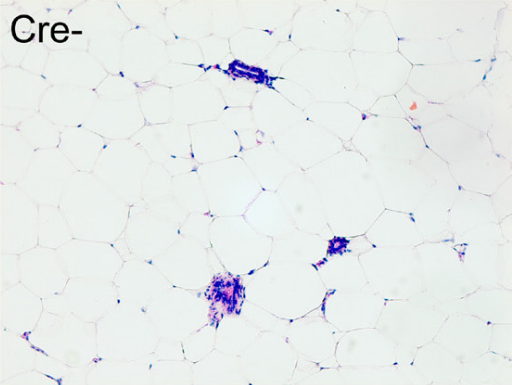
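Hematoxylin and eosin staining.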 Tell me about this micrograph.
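Mammary gland tissue made up mostly of large, polygonal, empty-looking fat cells with thin pale pink borders. Scattered among them lie a few small clusters of epithelial cells with dark blue-purple nuclei, forming small ducts, some set in a little pink connective tissue. Occasional flattened nuclei sit along the borders of the fat cells.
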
